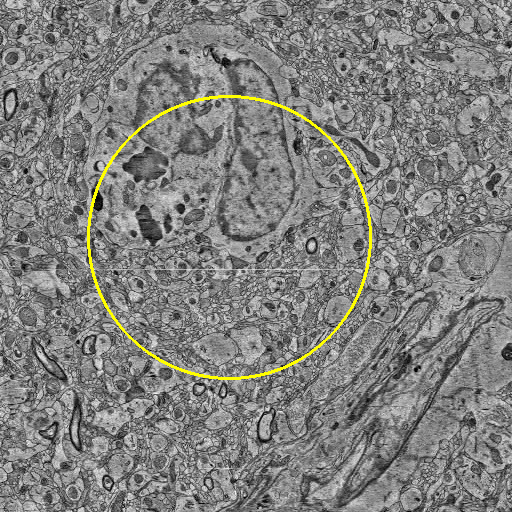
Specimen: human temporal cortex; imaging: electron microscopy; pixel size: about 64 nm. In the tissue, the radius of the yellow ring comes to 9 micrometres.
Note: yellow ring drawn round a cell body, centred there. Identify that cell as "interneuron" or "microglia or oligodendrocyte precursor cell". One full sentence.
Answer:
The cell in the middle of the ring is a microglial cell or oligodendrocyte precursor cell.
